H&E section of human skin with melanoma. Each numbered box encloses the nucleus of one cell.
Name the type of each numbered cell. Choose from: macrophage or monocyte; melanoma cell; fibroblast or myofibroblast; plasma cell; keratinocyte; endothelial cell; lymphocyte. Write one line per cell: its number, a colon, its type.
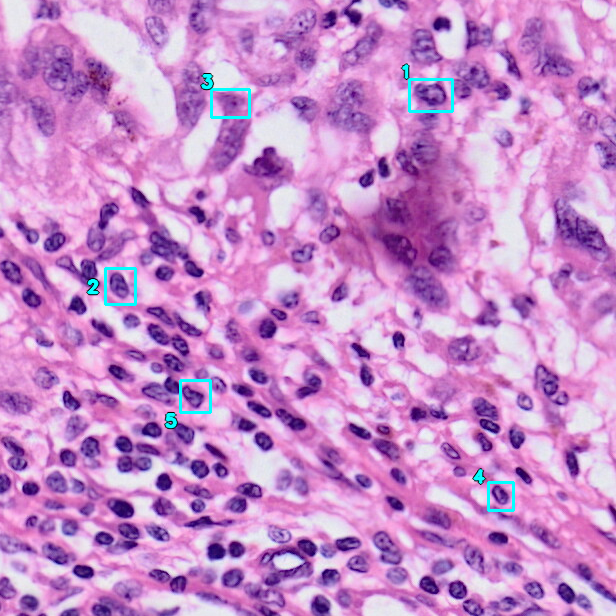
1: melanoma cell
2: lymphocyte
3: melanoma cell
4: lymphocyte
5: lymphocyte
